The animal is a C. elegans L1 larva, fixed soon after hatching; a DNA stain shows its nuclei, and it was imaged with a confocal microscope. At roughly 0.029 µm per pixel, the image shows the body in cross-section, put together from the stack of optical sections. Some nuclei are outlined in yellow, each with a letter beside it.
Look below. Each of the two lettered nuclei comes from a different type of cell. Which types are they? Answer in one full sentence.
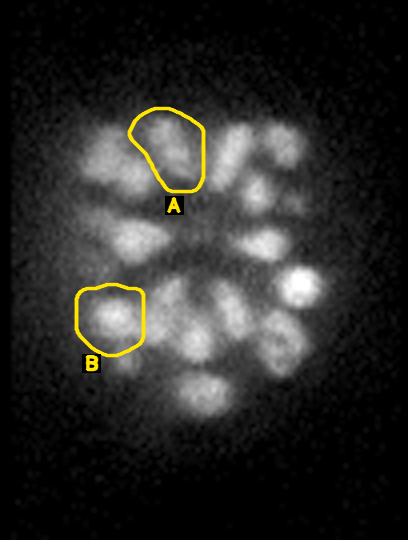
Nucleus A comes from a pharyngeal muscle cell and nucleus B from a glial cell (sheath or socket).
